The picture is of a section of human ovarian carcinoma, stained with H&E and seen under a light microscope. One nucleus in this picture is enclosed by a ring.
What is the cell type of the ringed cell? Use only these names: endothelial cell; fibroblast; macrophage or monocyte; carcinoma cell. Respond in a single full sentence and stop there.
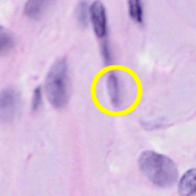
Just put down that the ringed cell is a fibroblast.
